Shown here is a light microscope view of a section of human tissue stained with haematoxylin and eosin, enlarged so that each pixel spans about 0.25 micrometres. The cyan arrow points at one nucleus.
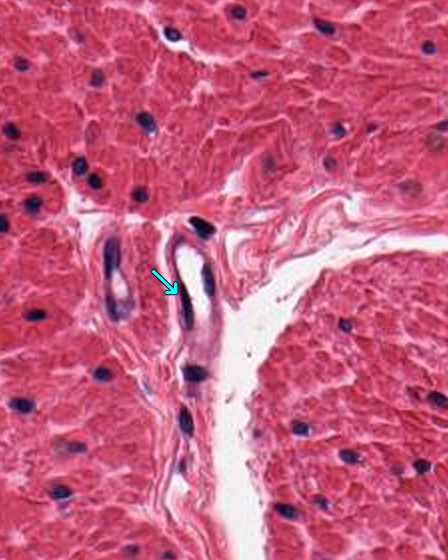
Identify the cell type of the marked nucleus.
endothelial cell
